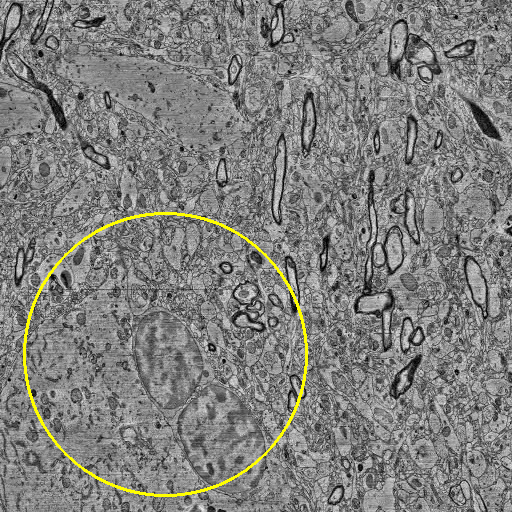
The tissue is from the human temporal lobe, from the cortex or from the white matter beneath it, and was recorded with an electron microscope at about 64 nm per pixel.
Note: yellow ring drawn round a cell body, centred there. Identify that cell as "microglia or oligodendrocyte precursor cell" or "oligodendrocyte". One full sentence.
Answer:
The cell in the middle of the ring is an oligodendrocyte.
